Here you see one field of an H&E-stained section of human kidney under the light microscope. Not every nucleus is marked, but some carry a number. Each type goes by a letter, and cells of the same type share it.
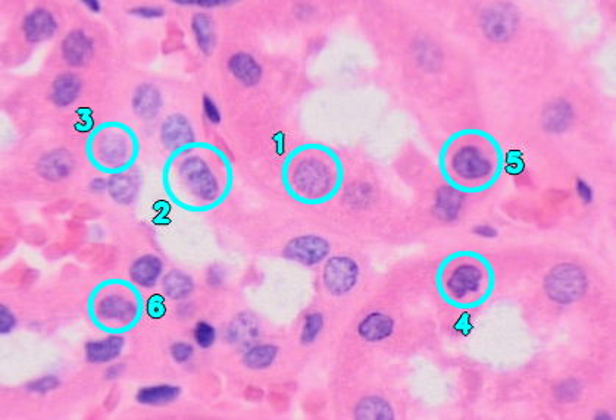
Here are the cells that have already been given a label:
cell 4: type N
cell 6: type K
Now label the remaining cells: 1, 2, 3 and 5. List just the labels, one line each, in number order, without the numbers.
type N
type K
type K
type N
